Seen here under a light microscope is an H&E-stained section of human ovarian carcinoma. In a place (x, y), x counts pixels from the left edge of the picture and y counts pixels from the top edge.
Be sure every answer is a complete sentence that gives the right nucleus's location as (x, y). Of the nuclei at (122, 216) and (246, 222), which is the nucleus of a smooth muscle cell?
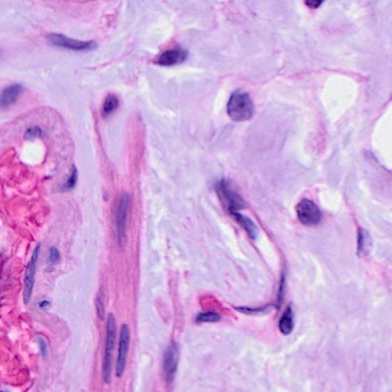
The nucleus at (122, 216) belongs to a smooth muscle cell, which distinguishes it from the other nucleus.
